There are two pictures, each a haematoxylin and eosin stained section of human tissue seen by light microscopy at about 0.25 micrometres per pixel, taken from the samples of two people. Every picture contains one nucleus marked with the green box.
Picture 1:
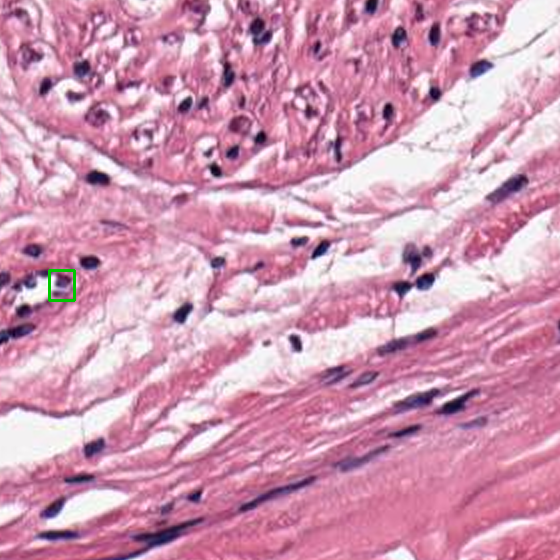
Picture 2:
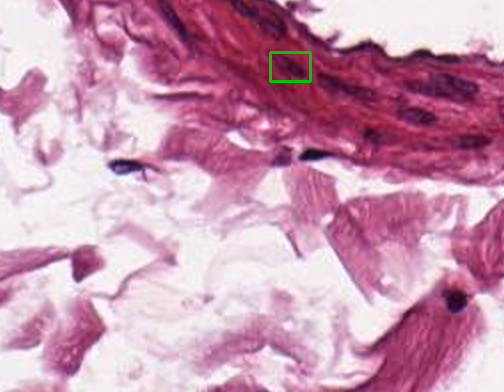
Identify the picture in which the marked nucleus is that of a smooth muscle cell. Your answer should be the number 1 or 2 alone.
2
